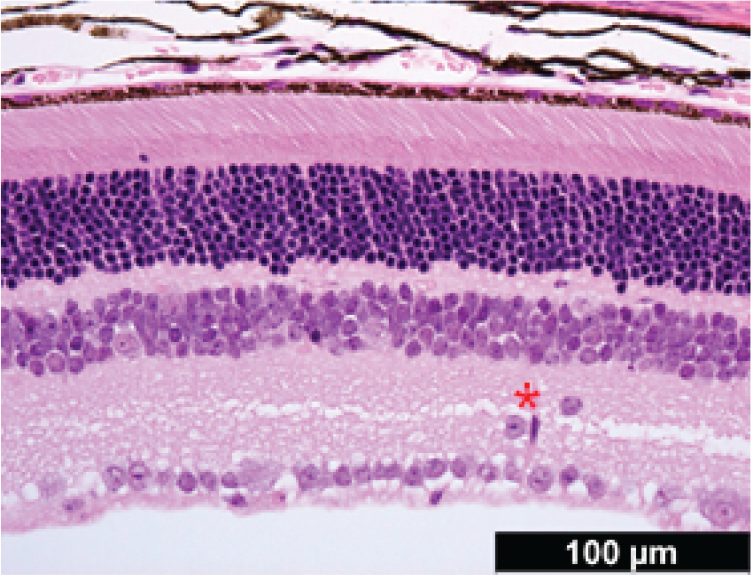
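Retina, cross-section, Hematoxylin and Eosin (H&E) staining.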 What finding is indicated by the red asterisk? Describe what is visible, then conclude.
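Mislocalized cells. The asterisk marks rounded nuclei lying within the pale plexiform band rather than in a nuclear row.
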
